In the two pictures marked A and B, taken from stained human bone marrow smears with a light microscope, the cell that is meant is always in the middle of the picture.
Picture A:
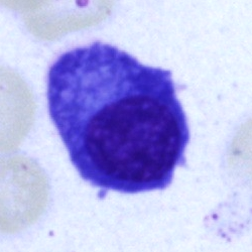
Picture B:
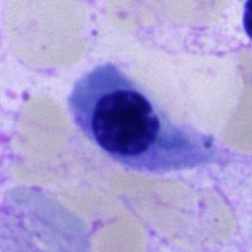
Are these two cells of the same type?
no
